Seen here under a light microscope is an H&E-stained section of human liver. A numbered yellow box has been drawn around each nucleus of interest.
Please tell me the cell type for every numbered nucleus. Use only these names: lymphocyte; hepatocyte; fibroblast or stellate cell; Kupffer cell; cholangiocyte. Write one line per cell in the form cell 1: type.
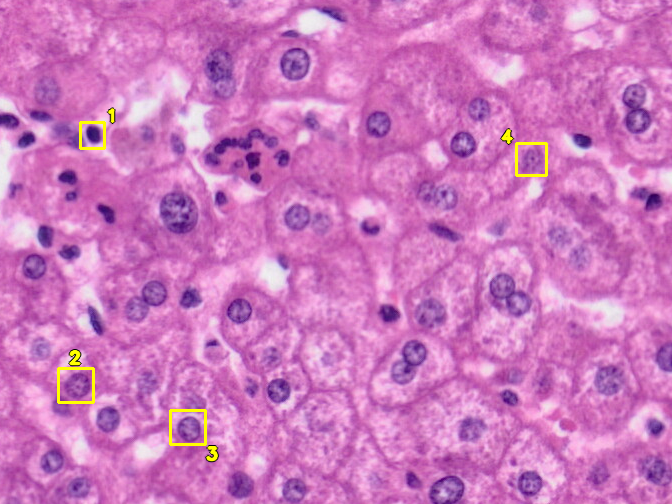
cell 1: lymphocyte
cell 2: hepatocyte
cell 3: hepatocyte
cell 4: hepatocyte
